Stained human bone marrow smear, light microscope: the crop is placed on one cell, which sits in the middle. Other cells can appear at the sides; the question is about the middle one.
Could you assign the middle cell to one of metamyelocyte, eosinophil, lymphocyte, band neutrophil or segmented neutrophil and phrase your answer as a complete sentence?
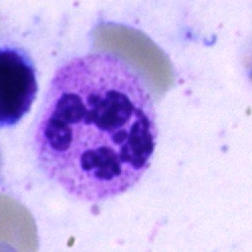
To answer, the cell in the center of the crop is a segmented neutrophil.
